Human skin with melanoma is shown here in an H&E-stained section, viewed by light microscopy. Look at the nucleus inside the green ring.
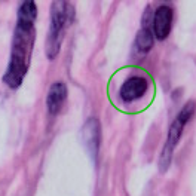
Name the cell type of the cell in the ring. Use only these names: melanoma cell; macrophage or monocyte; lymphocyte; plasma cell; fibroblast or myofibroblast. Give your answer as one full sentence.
The cell in the ring is a plasma cell.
